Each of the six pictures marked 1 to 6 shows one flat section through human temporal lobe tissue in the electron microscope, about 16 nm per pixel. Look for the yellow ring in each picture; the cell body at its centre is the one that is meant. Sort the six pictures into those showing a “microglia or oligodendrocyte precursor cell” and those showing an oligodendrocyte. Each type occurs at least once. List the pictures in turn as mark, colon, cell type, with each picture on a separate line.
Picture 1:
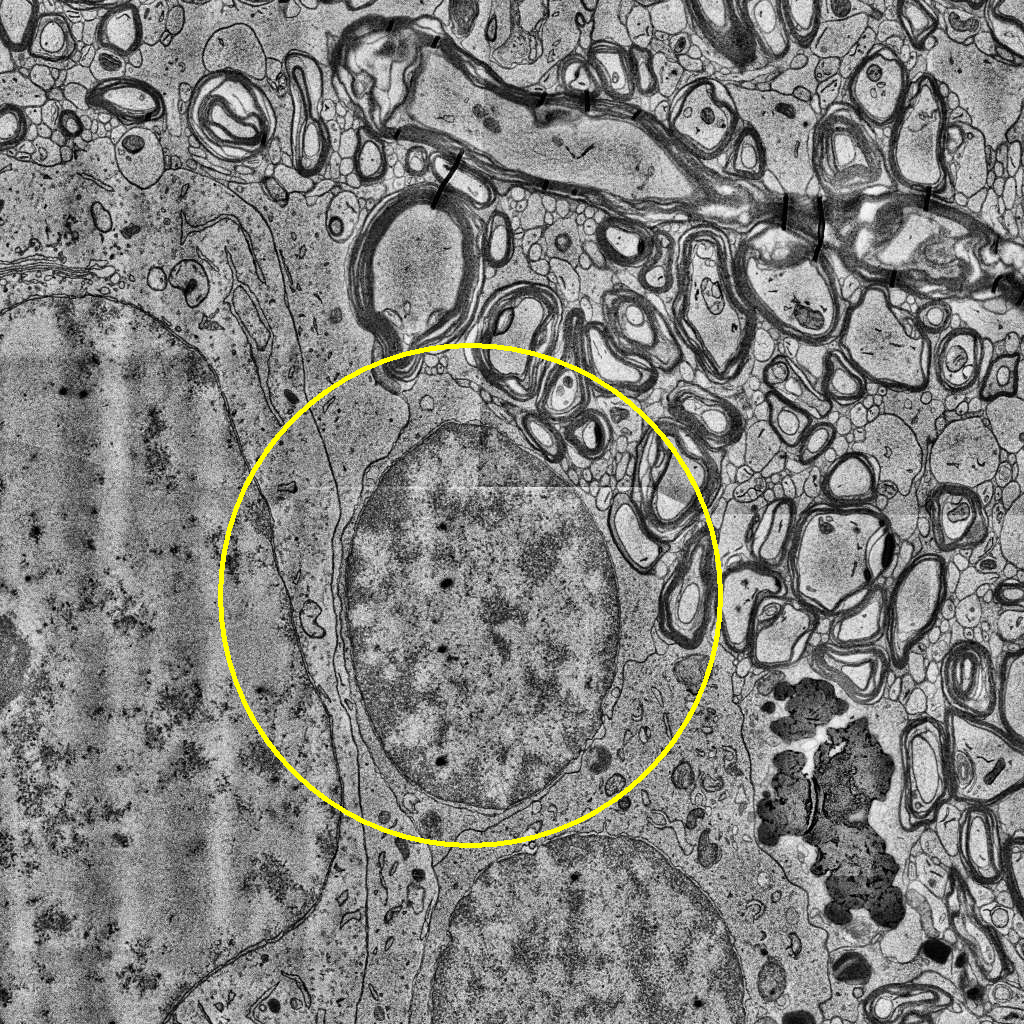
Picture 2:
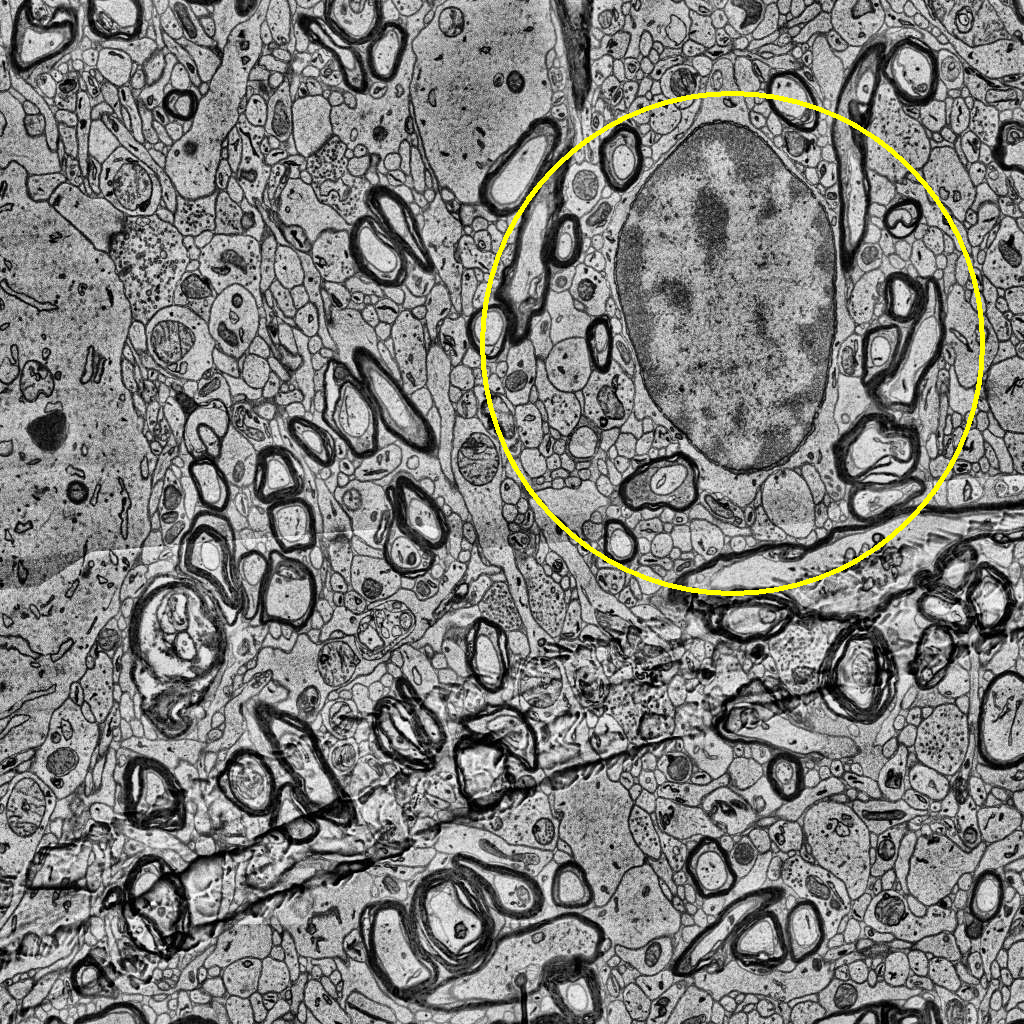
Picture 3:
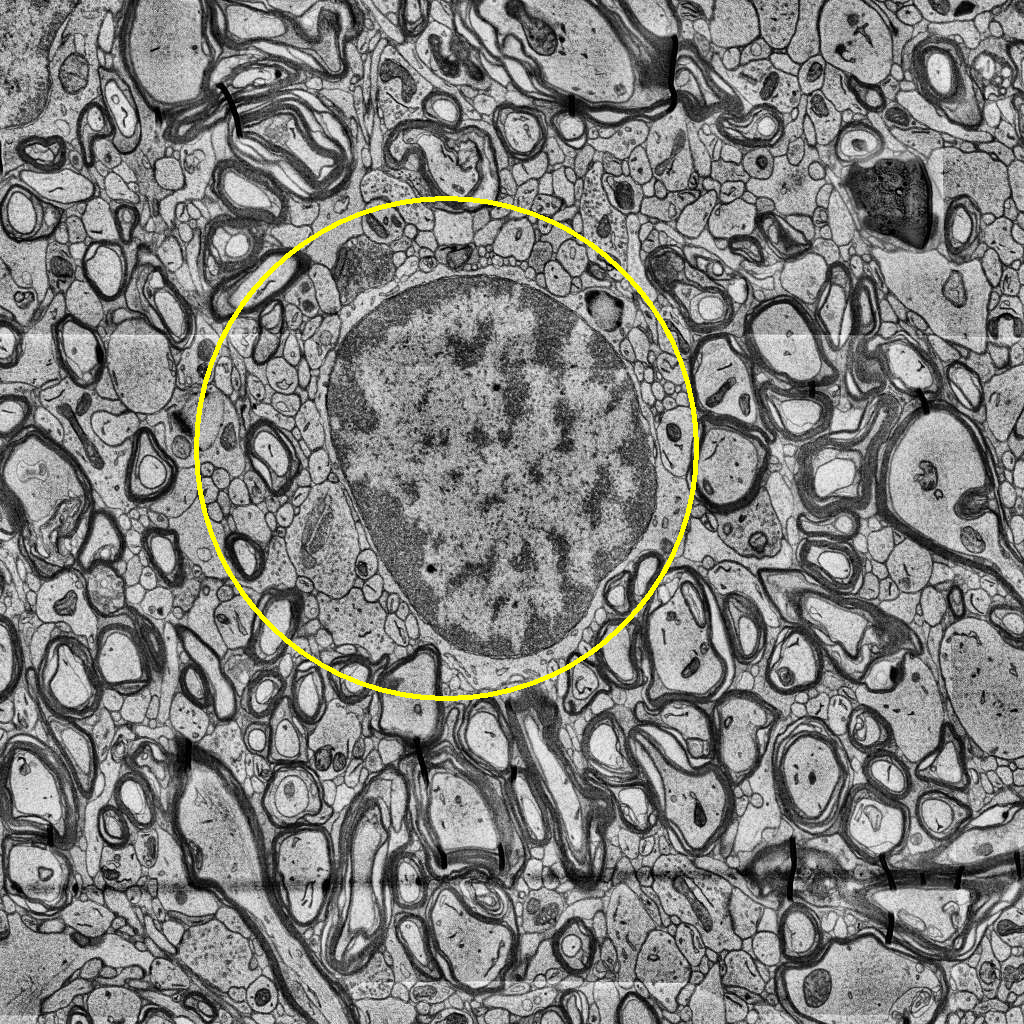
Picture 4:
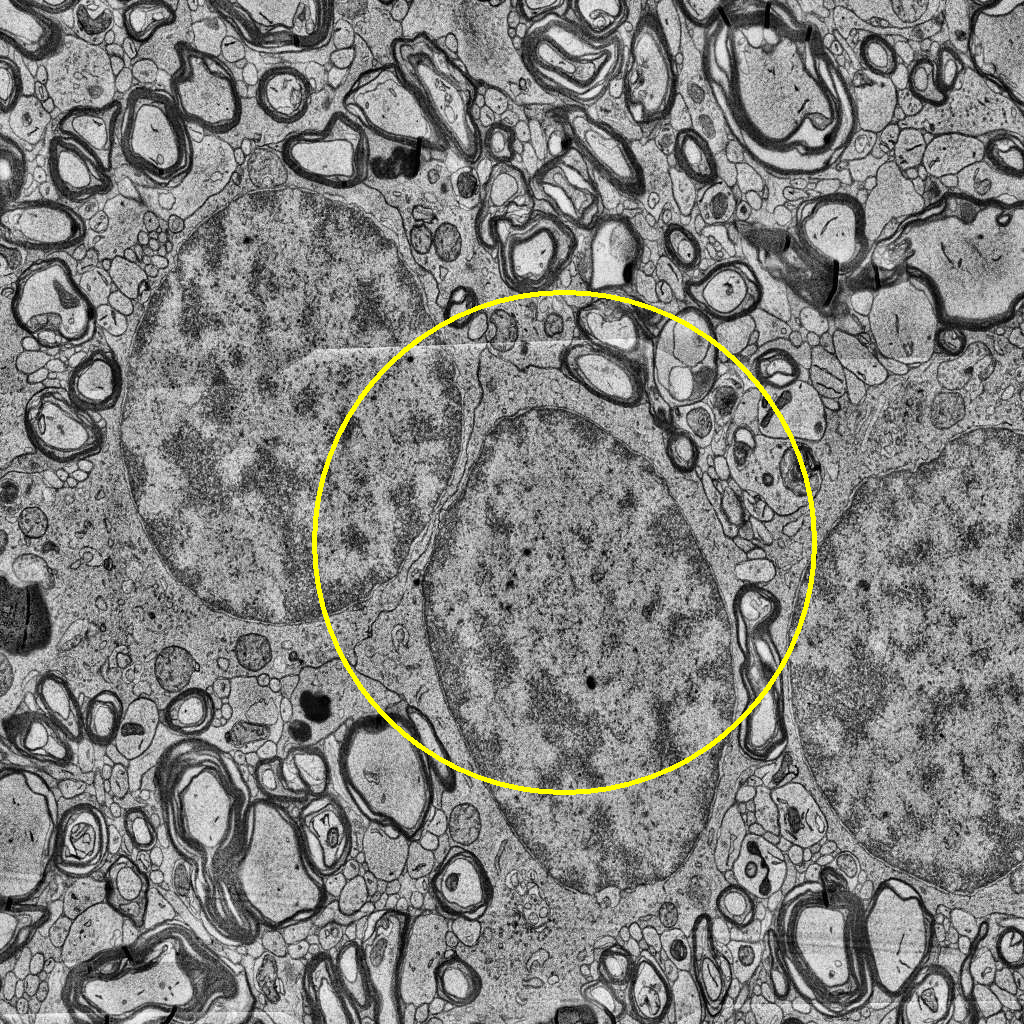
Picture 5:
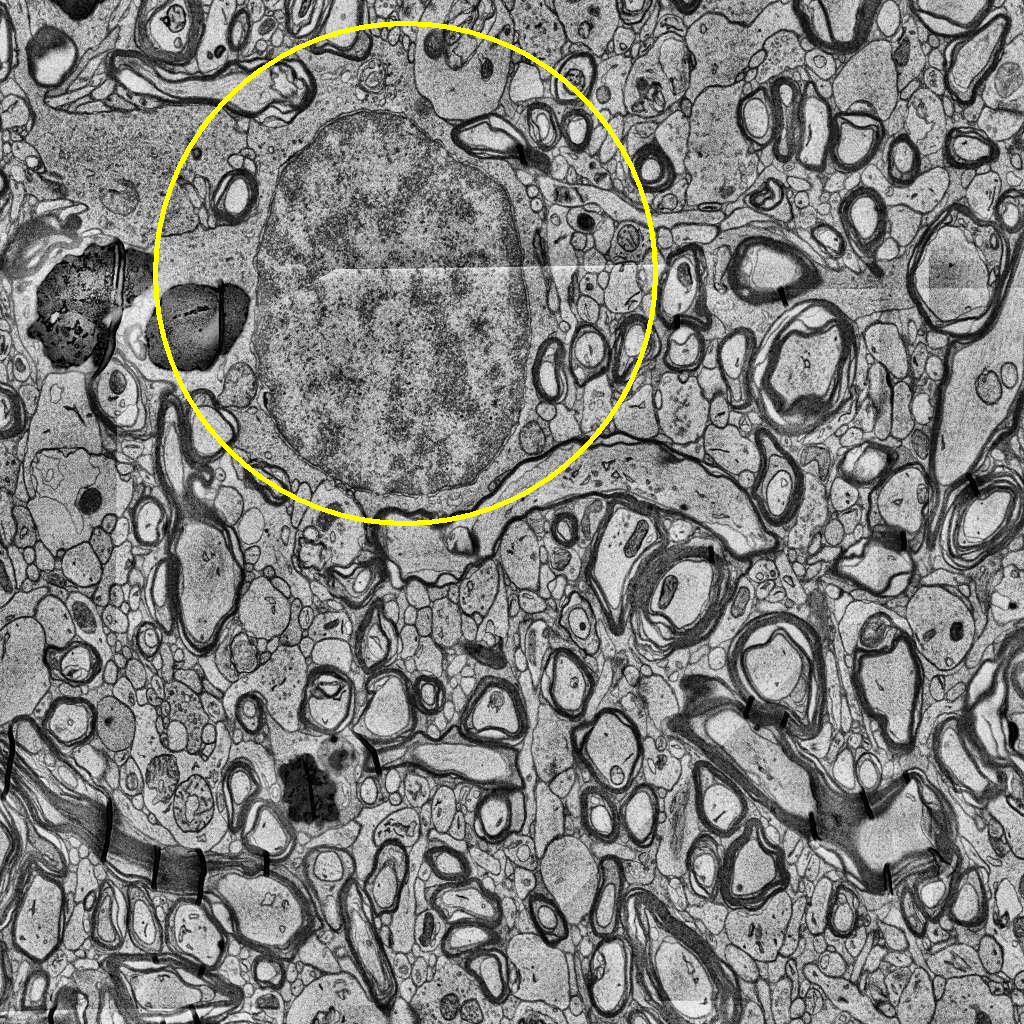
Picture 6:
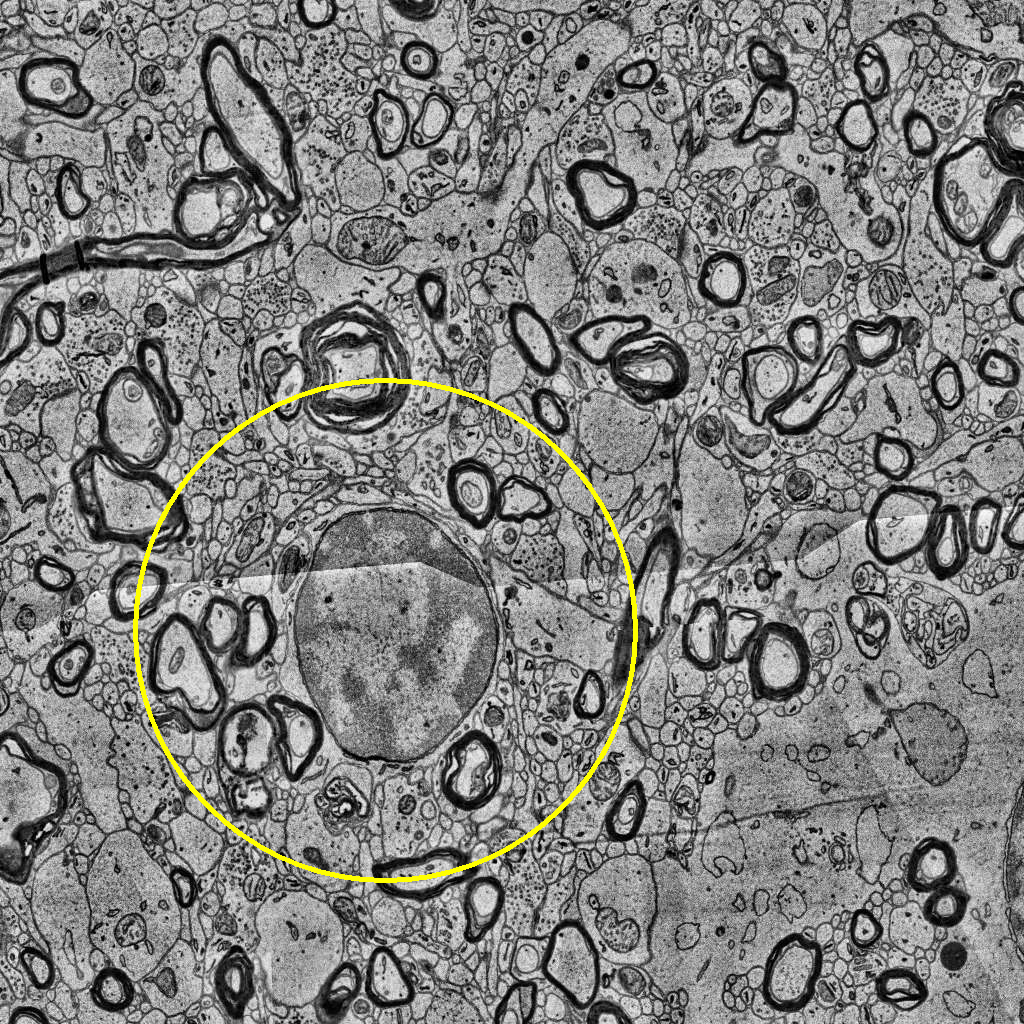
1: oligodendrocyte
2: microglia or oligodendrocyte precursor cell
3: microglia or oligodendrocyte precursor cell
4: oligodendrocyte
5: oligodendrocyte
6: microglia or oligodendrocyte precursor cell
